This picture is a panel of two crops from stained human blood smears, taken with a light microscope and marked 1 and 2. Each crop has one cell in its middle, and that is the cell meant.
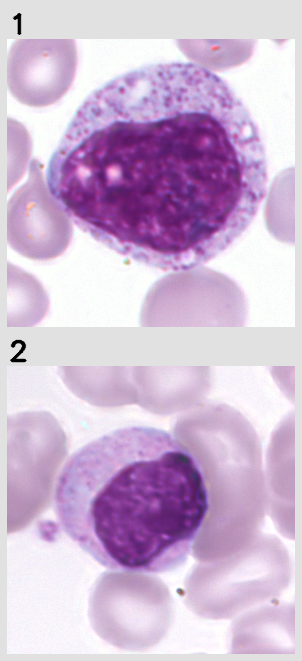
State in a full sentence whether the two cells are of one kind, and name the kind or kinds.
Yes, the two crops both show myelocytes.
